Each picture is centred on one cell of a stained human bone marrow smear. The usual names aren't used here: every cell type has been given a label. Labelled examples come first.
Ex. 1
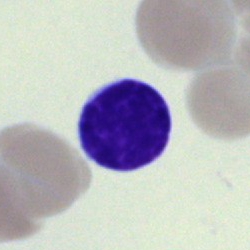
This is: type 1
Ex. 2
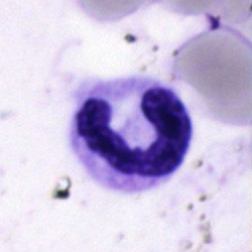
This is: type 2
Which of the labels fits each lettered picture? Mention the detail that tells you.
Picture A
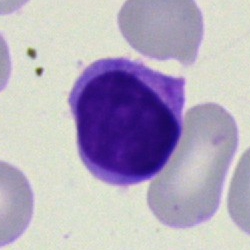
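type 1. Reason: The nucleus fills most of the cell.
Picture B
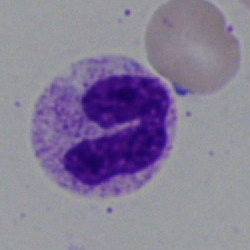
type 2. Reason: Fine lilac-purple granules are scattered throughout the cytoplasm.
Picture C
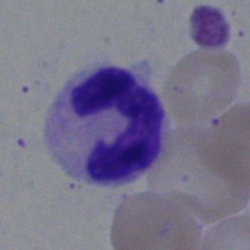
type 2. Reason: The nucleus is a single unsegmented band curved into a C with its open side facing left.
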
